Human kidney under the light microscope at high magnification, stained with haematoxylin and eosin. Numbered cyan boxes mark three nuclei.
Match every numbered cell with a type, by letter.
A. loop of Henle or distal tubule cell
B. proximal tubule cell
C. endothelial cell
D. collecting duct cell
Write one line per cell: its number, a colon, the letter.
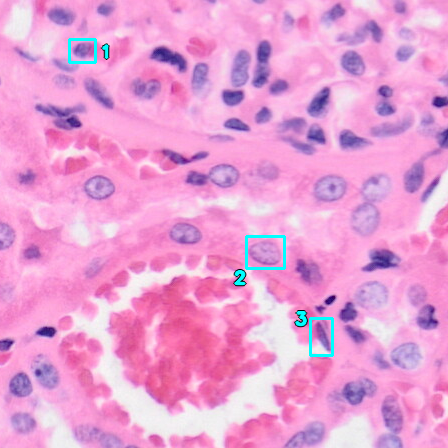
1: C
2: B
3: C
